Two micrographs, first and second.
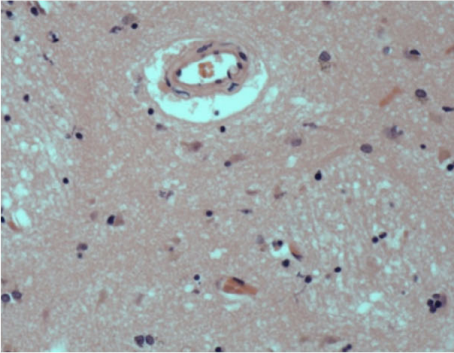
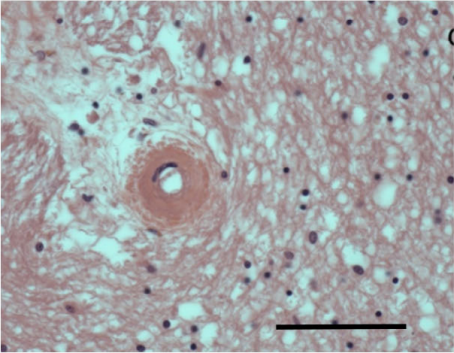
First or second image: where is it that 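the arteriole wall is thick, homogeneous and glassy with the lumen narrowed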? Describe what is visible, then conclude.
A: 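Second image: the vessel wall is a broad ring of smooth, uniformly pink material around a small lumen. First image: the vessel wall is thin with elongated nuclei and a relatively wide lumen containing red blood cells. So: the second image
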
